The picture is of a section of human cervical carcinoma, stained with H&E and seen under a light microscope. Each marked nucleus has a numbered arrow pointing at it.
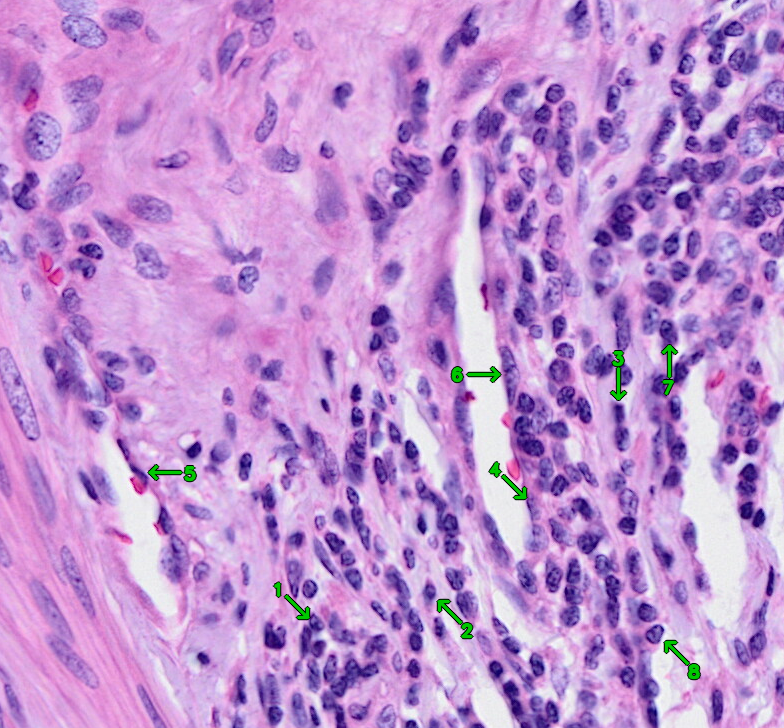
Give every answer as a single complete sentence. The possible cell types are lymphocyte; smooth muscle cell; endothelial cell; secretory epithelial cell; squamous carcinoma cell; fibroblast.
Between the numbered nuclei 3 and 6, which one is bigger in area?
Nucleus 6 covers more area, about 2 times as much as nucleus 3.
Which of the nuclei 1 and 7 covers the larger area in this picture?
Number 7 is larger; its area is about 2 times that of number 1.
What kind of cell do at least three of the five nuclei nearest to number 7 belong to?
Lymphocytes make up most of the five nuclei closest to number 7.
